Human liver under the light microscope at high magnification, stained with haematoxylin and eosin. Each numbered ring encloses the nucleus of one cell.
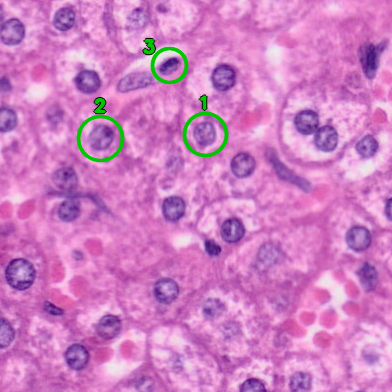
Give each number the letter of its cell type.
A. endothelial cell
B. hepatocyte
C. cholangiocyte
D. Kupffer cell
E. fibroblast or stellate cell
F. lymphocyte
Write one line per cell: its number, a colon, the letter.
1: B
2: B
3: F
